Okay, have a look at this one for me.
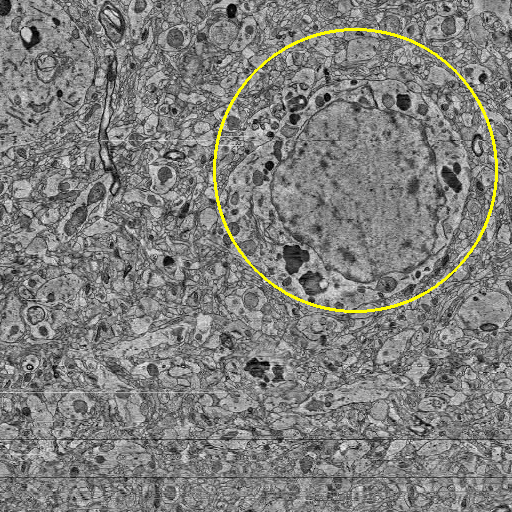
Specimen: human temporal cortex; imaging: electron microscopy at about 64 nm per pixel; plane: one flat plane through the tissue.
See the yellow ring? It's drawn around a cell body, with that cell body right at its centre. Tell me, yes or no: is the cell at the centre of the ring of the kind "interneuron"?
Yes, it is of that kind.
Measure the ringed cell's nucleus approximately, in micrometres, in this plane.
About 13 by 11 micrometers, in this plane.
